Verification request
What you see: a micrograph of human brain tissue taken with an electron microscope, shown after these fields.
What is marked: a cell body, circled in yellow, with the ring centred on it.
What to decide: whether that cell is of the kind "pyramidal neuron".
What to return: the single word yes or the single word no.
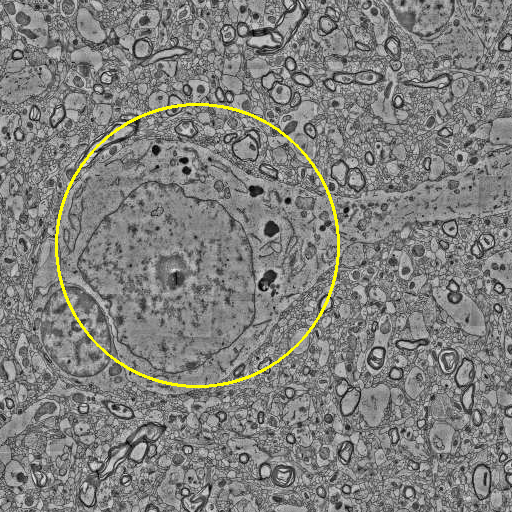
yes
